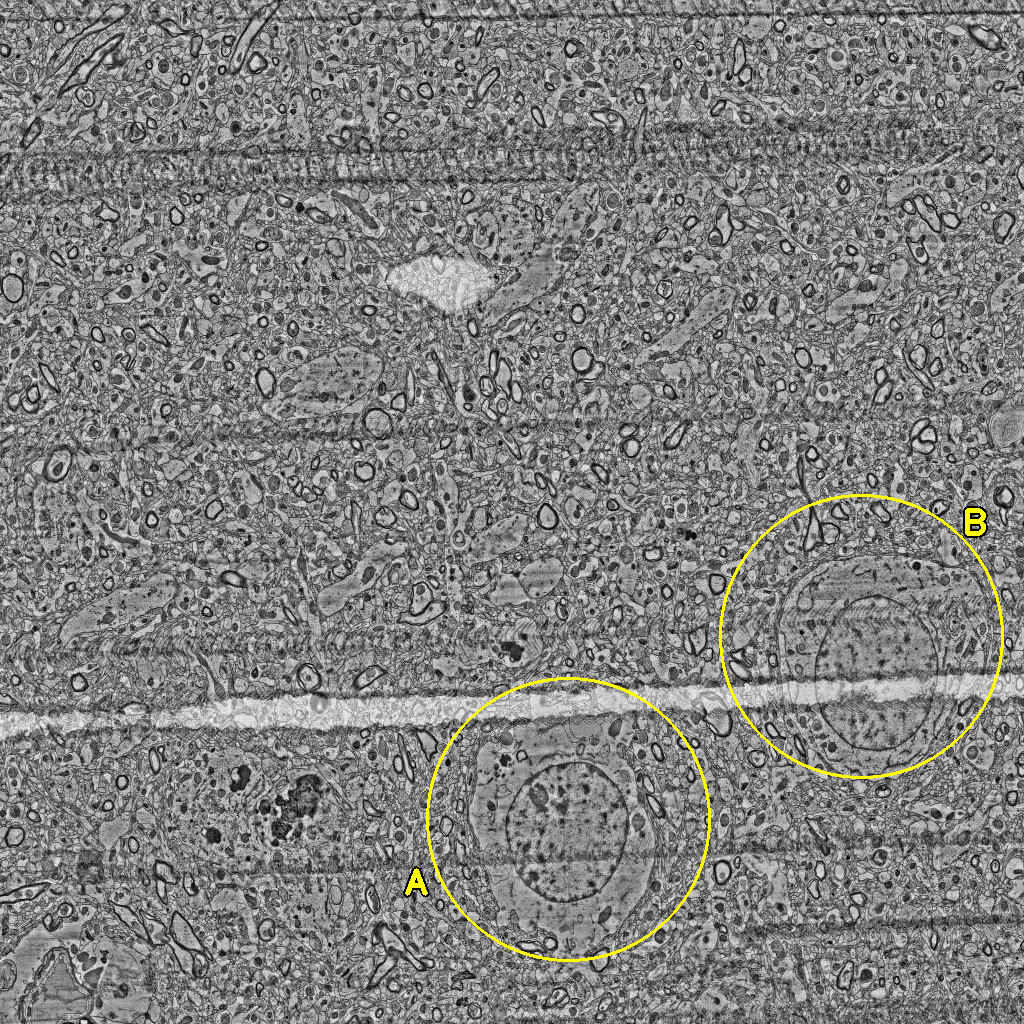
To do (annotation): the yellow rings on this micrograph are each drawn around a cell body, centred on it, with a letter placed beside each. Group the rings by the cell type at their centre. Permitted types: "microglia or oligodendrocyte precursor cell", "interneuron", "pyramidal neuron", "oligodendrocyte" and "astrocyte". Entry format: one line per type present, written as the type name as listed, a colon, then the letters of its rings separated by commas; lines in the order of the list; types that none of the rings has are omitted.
pyramidal neuron: B
astrocyte: A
